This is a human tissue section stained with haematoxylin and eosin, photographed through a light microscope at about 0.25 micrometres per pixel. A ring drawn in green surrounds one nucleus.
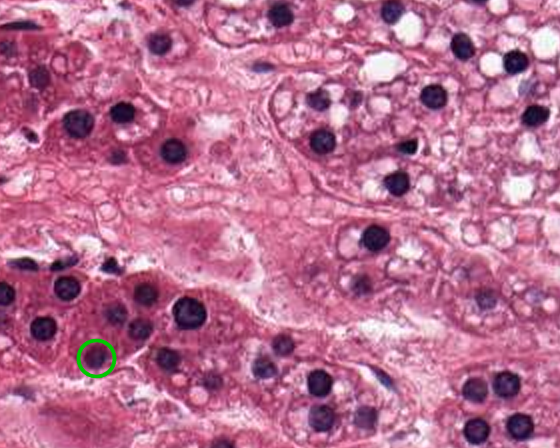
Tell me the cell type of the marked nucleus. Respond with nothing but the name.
adrenal cortical cell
